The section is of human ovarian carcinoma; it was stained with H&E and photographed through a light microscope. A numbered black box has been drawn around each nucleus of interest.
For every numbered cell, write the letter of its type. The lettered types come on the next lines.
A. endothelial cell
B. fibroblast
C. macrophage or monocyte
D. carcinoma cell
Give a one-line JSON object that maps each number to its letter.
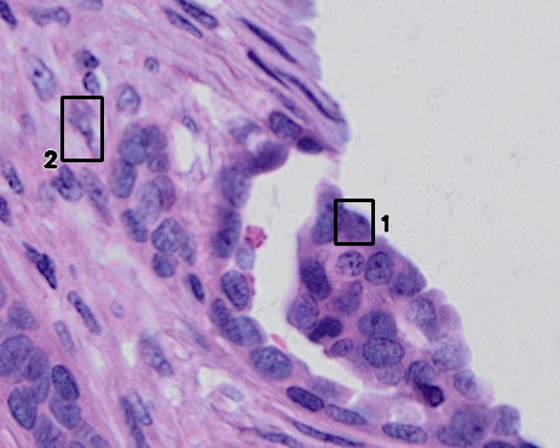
{"1": "D", "2": "B"}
